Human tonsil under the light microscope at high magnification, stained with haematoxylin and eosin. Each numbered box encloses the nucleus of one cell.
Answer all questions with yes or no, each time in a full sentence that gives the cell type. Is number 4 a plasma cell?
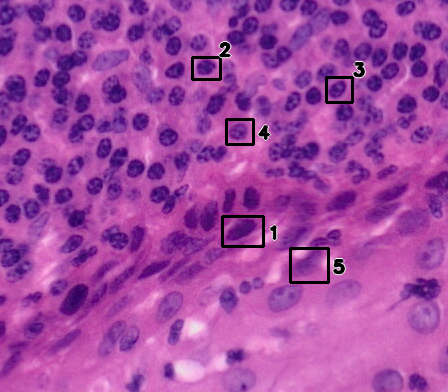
Yes, the marked cell number 4 is a plasma cell.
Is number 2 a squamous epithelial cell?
No, the cell at marker 2 is not a squamous epithelial cell; it is a plasma cell.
